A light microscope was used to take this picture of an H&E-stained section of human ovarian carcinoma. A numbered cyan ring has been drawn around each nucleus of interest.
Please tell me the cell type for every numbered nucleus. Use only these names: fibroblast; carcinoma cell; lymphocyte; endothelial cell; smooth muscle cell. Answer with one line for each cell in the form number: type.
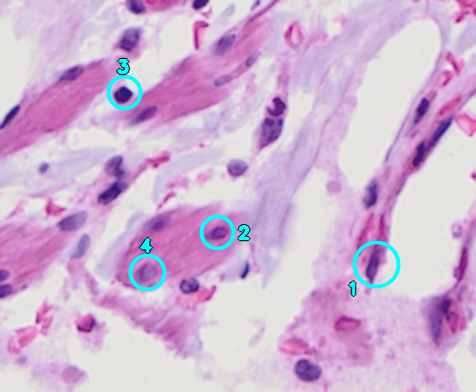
1: endothelial cell
2: smooth muscle cell
3: lymphocyte
4: smooth muscle cell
